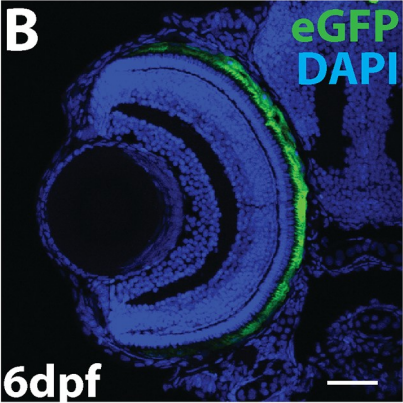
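A cross-section through a larval eye with the lens at left and the retina curving around it as stacked layers of blue nuclei separated by darker fibre bands. A continuous bright green band of cells lines the outer back surface of the retina, the pigment epithelium, strongest over the central part and fading toward the lower margin.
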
